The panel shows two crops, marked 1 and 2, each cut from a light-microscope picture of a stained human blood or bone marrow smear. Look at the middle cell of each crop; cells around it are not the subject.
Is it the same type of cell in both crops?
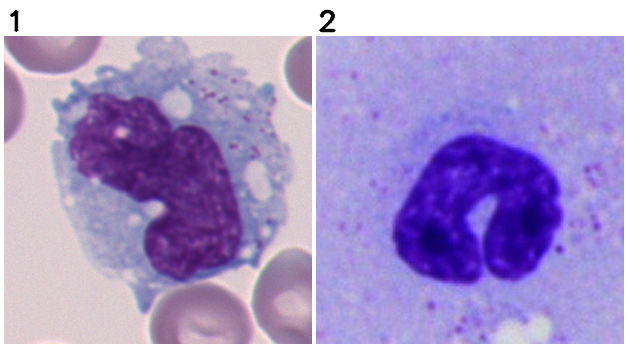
no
